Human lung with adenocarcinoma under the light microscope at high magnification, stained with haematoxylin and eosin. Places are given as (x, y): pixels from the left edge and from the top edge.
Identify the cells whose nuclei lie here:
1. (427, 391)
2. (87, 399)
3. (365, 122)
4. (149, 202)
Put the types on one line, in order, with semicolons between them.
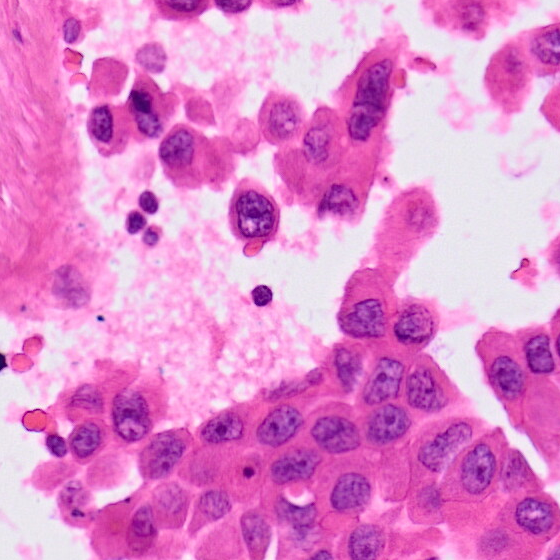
carcinoma cell; carcinoma cell; carcinoma cell; lymphocyte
